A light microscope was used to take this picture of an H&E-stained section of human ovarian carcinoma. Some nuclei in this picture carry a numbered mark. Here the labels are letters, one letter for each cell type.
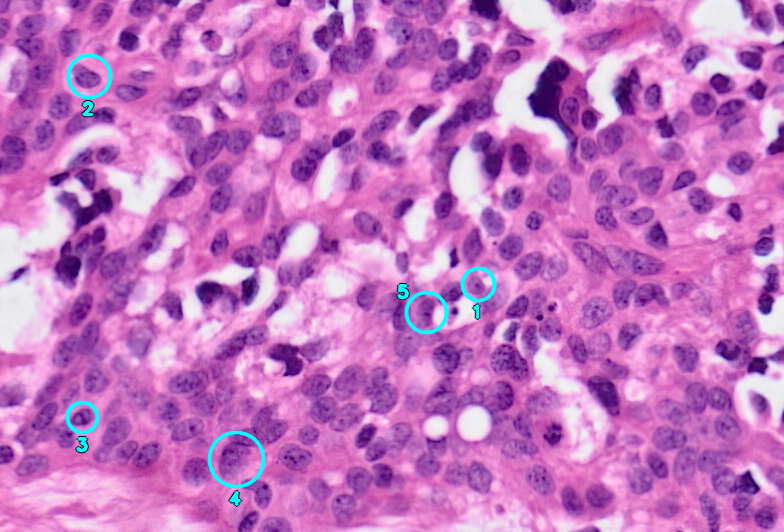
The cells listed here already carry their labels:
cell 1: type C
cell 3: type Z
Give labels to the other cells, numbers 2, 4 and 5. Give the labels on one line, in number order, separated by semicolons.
type Z; type C; type C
